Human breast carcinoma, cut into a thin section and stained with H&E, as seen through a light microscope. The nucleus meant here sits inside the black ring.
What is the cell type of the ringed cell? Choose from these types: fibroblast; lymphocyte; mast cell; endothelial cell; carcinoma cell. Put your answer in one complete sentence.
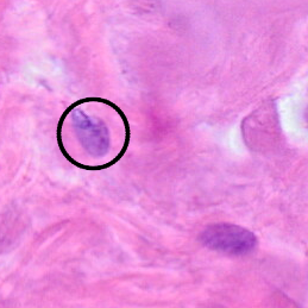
For cell typing purposes, the ringed cell is a fibroblast.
